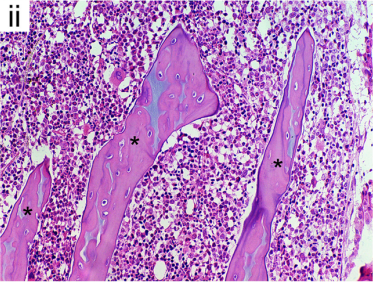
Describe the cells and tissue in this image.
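Several elongated pink bony spicules run in a roughly parallel, regular arrangement across the field. Within them lie small lacunae holding cells, and some areas of the bone matrix take a faint bluish tint. The spaces between the spicules are filled with densely packed marrow cells with small, round, dark purple nuclei, among which a few clear, empty-looking round spaces are scattered. The trabecular edges are comparatively smooth.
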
